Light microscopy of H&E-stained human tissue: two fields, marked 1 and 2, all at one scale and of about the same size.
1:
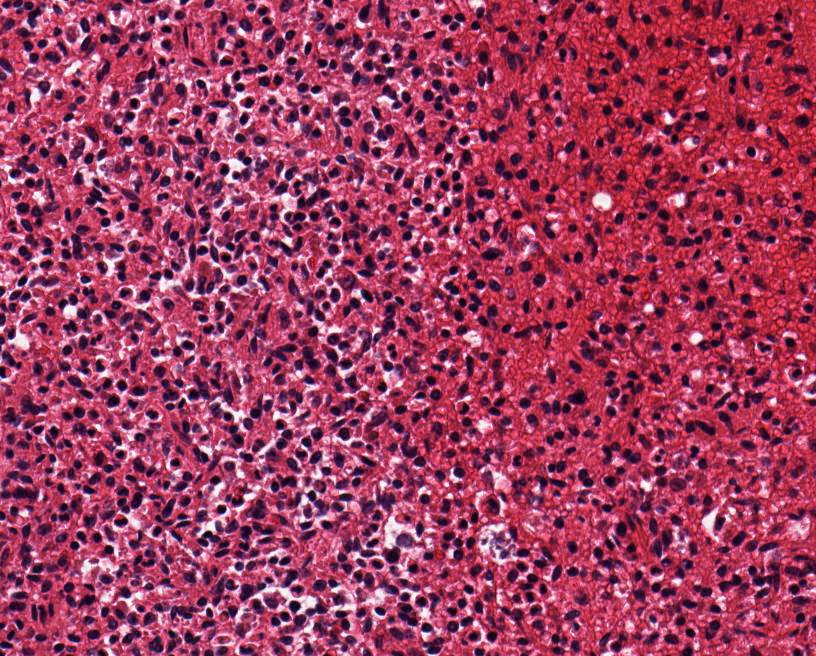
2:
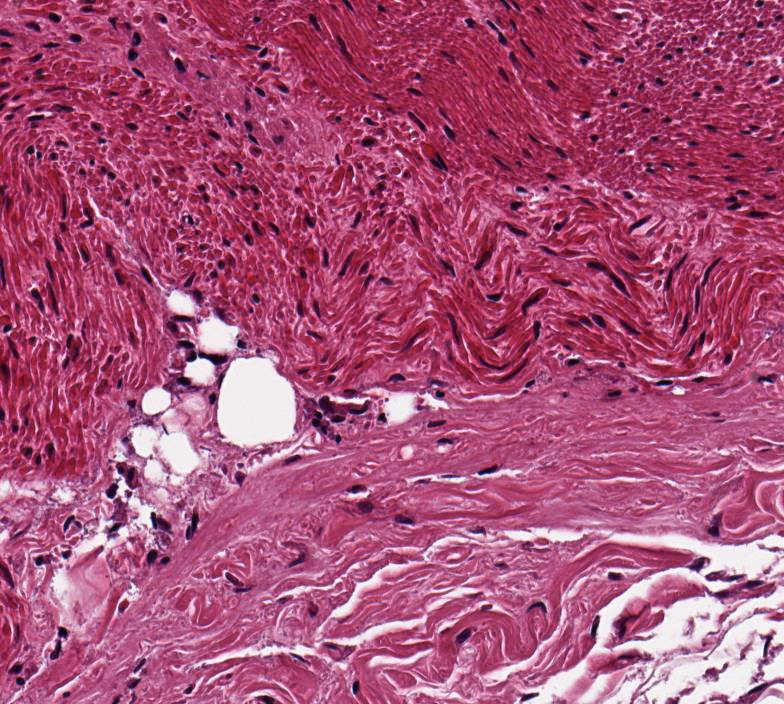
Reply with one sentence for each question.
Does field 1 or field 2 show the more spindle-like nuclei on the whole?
Longer, more slender nuclei lie in field 2.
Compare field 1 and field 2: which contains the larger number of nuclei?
More nuclei lie in field 1 than in field 2.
